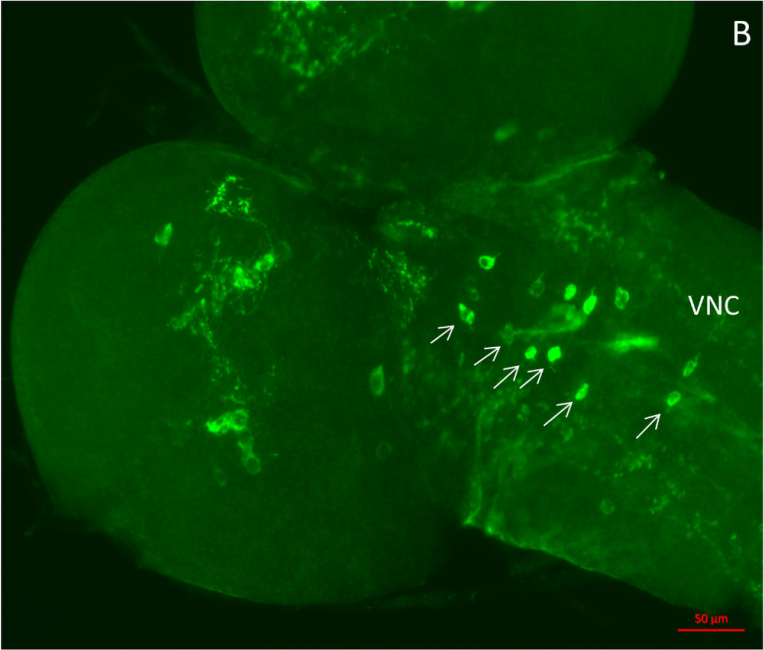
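Along the nerve cord lie small, bright, round nerve cell bodies arranged in rows and pairs. In the hemisphere, fine beaded fibres form loose meshworks of neuropil, and a few further labelled cell bodies lie scattered. Part of a second rounded hemisphere with similar punctate fibres shows at the top edge. The background tissue is only faintly fluorescent, outlining the shape of the organ.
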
